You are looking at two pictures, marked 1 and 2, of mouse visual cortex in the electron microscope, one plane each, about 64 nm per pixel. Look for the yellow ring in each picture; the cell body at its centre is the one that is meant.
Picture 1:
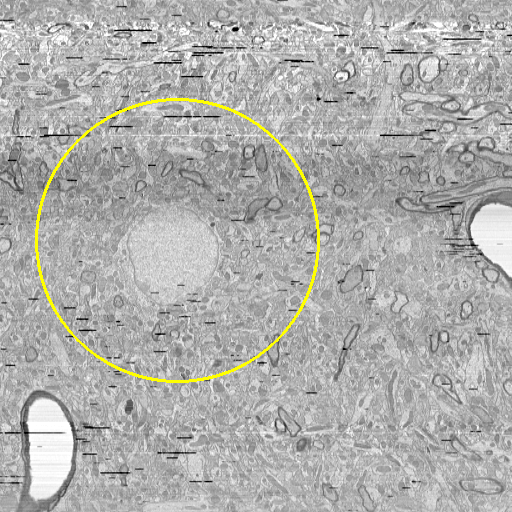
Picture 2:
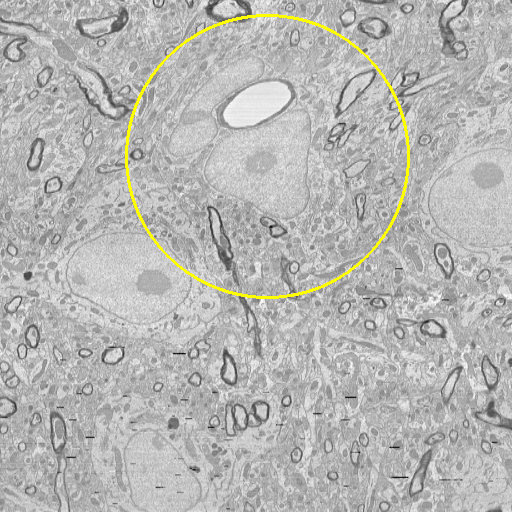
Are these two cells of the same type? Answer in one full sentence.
Yes, they are the same type: both are astrocytes.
